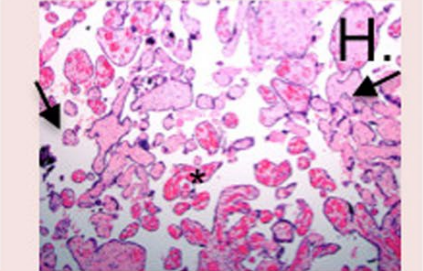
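This is placental villous tissue in which the chorionic villi lie loosely scattered in a wide pale space. Many villi are filled with numerous bright red vessel profiles, so that their cores look crowded and congested. Other villi are pale pink with a smooth stroma and no such red vessels. A dark purple clump sits at the left edge of the field.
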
